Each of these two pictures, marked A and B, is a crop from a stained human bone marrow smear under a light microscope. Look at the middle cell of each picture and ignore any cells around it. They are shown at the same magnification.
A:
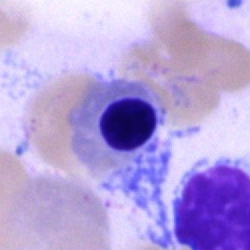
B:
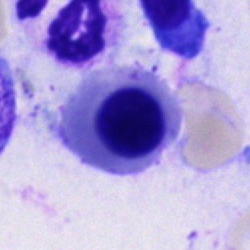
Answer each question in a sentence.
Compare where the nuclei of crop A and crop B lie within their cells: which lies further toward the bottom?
The nucleus in crop B lies further toward the bottom of its cell.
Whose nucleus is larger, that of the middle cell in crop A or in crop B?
Crop B shows the larger nucleus; it covers about 1.5 times the area of the nucleus in crop A.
